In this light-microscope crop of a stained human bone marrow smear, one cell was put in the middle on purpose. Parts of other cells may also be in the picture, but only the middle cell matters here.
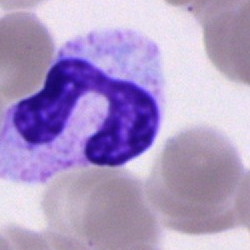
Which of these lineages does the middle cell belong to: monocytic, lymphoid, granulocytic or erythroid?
granulocytic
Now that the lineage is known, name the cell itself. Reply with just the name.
segmented neutrophil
